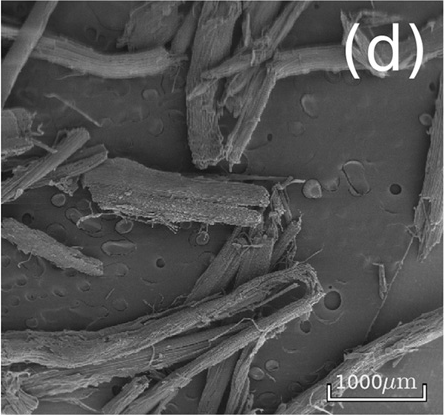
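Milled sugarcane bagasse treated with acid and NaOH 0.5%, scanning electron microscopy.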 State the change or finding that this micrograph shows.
predominance of fiber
